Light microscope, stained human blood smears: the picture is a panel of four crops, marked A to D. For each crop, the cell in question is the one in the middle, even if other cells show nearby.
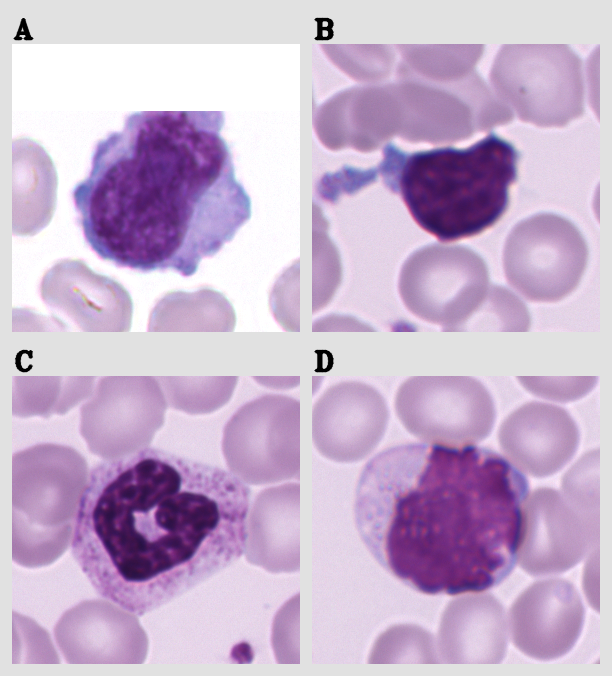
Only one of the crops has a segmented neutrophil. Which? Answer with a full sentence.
Crop C, and no other, is the one that shows a segmented neutrophil.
